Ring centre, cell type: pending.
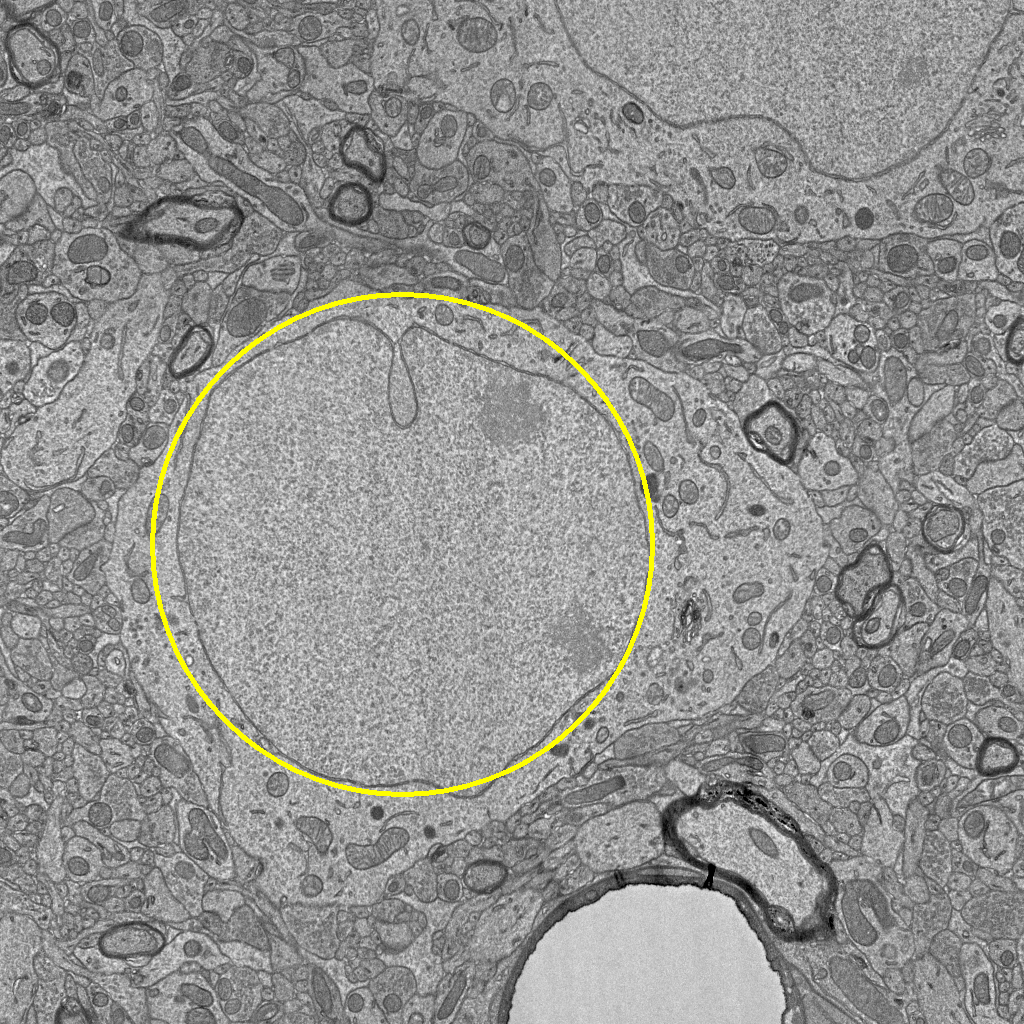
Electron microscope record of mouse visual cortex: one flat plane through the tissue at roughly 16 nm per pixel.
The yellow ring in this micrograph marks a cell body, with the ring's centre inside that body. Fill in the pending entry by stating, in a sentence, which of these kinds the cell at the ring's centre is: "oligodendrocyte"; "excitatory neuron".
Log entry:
The cell at the ring's centre is recorded as an excitatory neuron.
